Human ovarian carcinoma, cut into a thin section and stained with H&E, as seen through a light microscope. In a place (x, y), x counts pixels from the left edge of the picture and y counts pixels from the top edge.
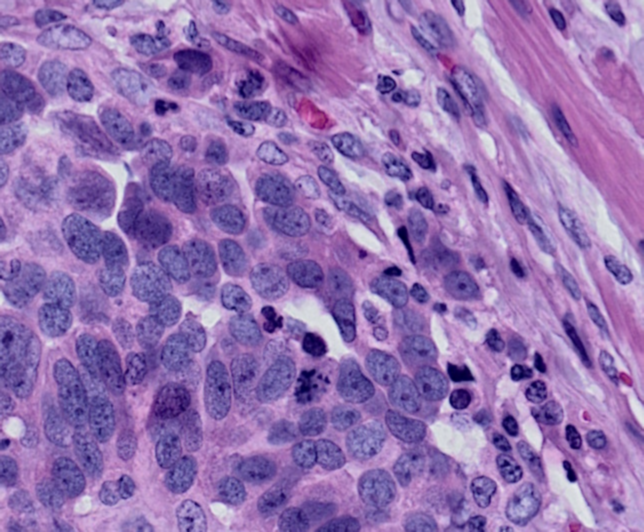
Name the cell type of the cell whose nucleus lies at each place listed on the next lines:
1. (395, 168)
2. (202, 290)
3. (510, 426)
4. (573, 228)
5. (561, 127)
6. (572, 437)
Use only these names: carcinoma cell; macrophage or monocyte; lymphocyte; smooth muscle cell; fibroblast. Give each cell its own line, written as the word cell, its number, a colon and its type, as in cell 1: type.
cell 1: macrophage or monocyte
cell 2: carcinoma cell
cell 3: lymphocyte
cell 4: fibroblast
cell 5: smooth muscle cell
cell 6: lymphocyte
